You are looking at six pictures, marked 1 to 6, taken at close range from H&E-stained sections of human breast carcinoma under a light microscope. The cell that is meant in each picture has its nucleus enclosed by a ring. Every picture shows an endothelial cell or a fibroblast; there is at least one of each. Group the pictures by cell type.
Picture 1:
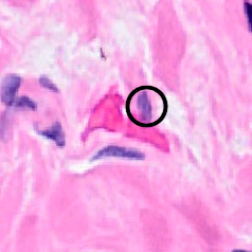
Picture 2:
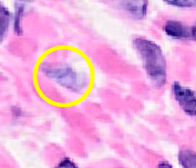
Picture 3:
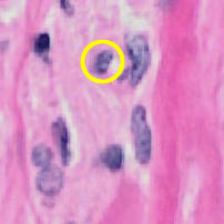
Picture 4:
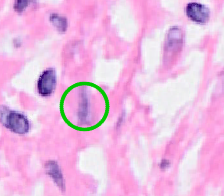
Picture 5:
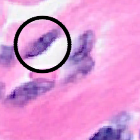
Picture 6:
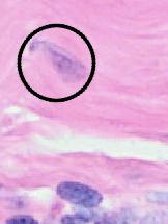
1: endothelial cell
2: fibroblast
3: endothelial cell
4: fibroblast
5: endothelial cell
6: fibroblast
